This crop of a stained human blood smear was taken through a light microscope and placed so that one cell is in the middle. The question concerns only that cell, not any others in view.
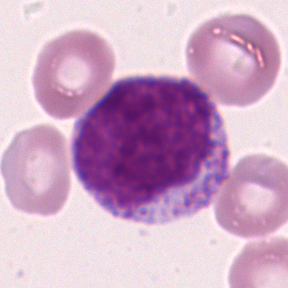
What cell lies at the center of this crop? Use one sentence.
In short, the cell at the center is a myelocyte.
